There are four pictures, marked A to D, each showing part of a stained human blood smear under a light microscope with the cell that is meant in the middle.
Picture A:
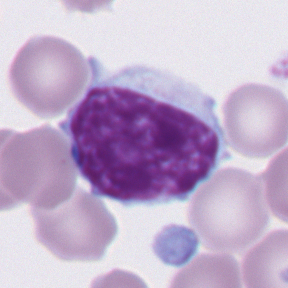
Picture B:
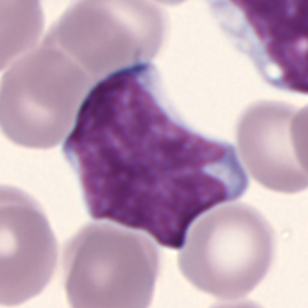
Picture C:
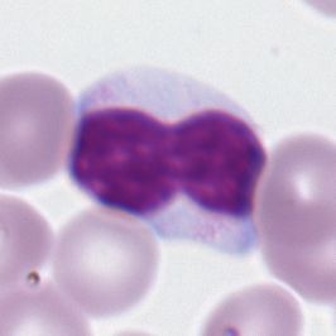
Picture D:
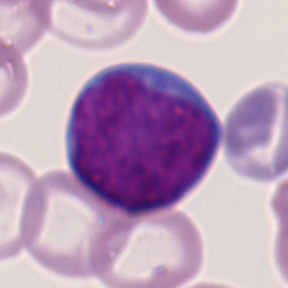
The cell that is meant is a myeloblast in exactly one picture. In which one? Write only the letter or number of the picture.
D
